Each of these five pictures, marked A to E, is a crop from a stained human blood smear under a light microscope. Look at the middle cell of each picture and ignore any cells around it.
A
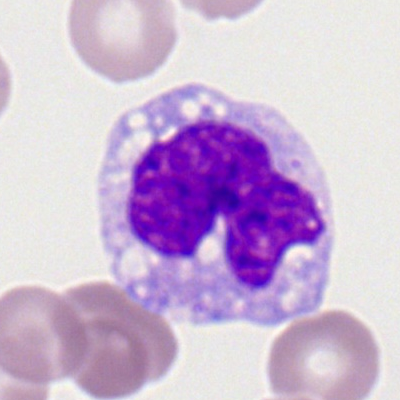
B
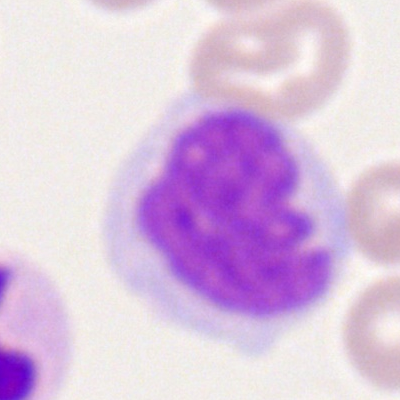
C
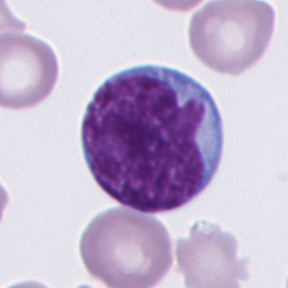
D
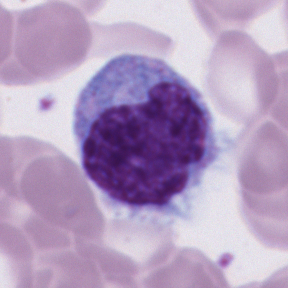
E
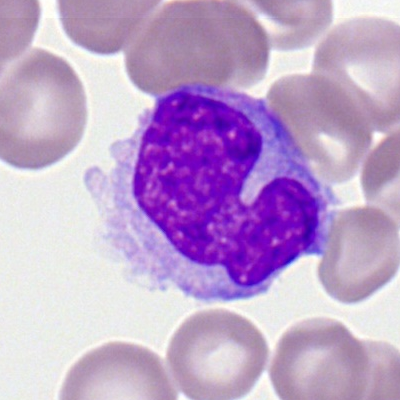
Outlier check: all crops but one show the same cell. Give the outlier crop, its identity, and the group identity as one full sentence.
Crop C shows a blast; by contrast, all the other crops show monocytes.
